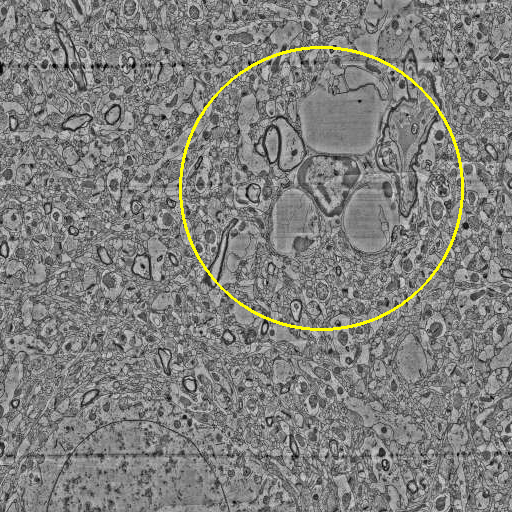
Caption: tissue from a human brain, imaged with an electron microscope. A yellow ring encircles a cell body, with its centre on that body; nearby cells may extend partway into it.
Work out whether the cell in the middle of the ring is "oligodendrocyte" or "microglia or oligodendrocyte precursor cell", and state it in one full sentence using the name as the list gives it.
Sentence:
In the picture, the cell that the yellow ring surrounds at its centre is a microglial cell or oligodendrocyte precursor cell.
